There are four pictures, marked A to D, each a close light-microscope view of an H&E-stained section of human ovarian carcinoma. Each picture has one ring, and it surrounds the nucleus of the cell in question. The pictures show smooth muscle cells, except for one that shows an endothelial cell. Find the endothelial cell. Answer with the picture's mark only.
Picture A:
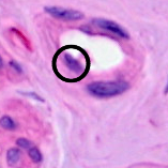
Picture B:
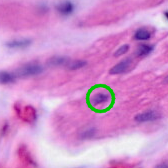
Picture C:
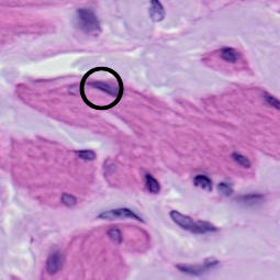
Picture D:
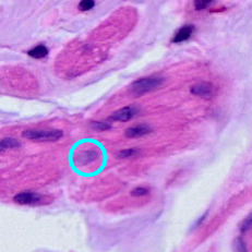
A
